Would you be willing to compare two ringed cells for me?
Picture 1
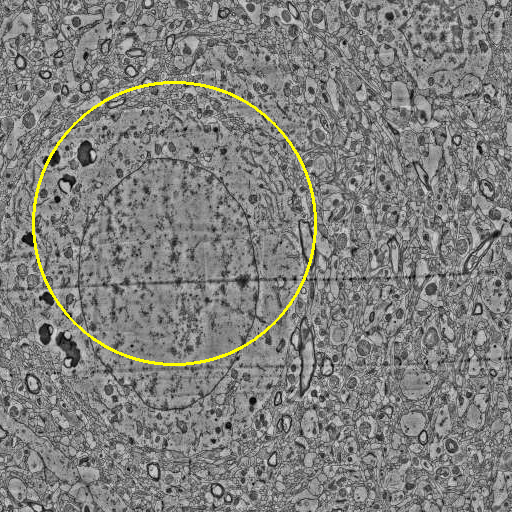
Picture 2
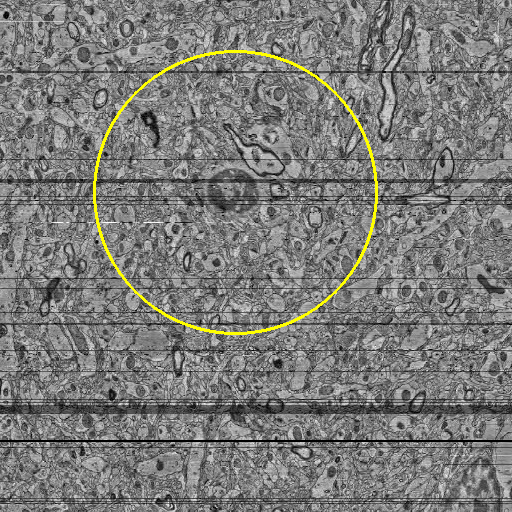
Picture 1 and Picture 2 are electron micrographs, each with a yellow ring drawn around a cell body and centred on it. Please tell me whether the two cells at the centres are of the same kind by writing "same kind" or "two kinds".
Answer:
two kinds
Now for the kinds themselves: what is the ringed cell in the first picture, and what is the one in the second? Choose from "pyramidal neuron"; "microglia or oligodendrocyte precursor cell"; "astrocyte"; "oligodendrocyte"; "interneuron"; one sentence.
Here the first cell is a pyramidal neuron and the second cell is an oligodendrocyte.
